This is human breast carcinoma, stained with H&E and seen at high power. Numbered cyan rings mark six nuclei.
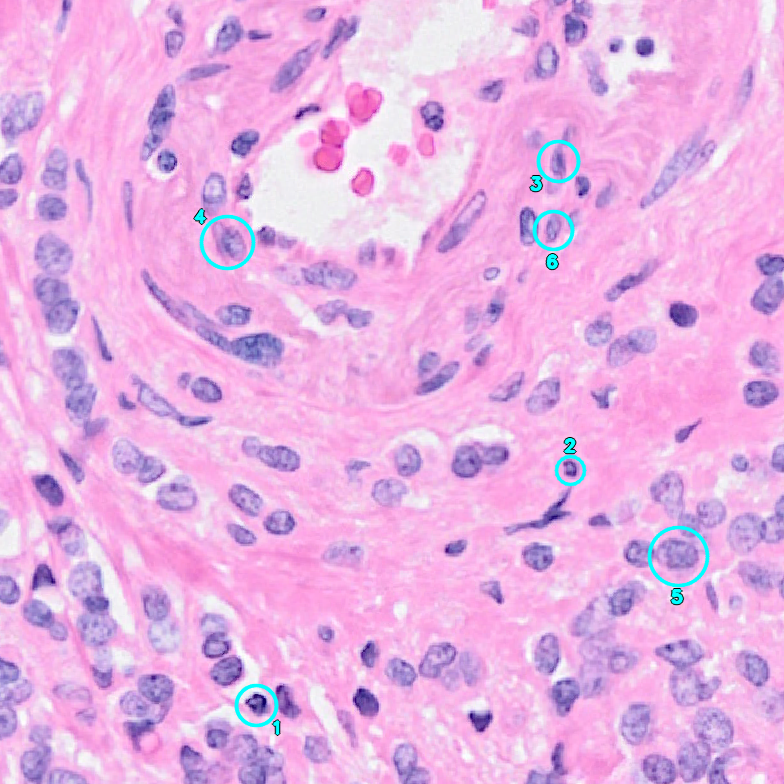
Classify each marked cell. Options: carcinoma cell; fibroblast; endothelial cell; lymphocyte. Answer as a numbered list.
1. lymphocyte
2. endothelial cell
3. endothelial cell
4. endothelial cell
5. carcinoma cell
6. endothelial cell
